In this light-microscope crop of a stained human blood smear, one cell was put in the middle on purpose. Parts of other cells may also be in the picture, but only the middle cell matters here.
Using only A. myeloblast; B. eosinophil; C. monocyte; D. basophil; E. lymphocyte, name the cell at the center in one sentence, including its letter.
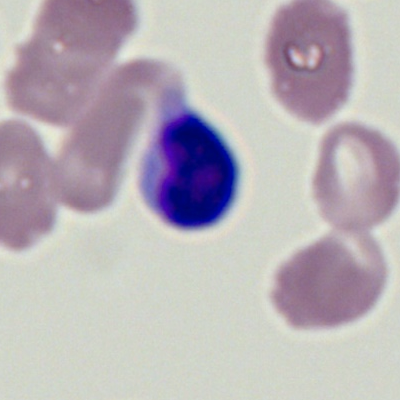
The correct identification, given in option E, is that the central cell is a lymphocyte.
